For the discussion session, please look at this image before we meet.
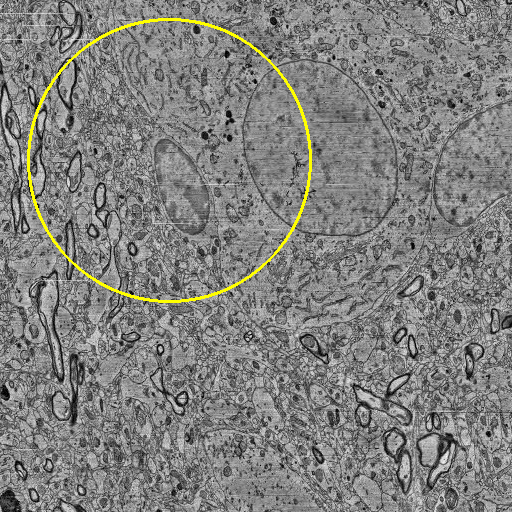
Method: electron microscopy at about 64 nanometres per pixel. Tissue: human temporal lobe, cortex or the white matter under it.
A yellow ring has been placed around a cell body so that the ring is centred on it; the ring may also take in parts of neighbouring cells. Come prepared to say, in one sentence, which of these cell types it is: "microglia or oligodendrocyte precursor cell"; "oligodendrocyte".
The cell centred in the ring is an oligodendrocyte.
